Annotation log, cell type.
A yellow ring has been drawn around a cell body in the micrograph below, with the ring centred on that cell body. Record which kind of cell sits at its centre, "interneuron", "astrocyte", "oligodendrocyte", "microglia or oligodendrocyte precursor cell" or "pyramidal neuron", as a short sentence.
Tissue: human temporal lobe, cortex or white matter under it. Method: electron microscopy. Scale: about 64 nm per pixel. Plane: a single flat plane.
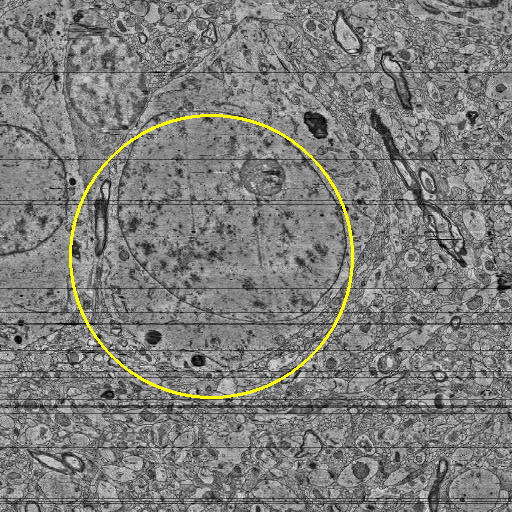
The cell at the centre of this ring is a pyramidal neuron.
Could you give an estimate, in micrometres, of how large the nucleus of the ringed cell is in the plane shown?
In this plane, the nucleus of the cell at the centre of the ring measures about 16 by 13 micrometres.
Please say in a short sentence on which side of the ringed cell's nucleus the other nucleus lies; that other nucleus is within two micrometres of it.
The other nucleus can be seen to the upper left of it.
